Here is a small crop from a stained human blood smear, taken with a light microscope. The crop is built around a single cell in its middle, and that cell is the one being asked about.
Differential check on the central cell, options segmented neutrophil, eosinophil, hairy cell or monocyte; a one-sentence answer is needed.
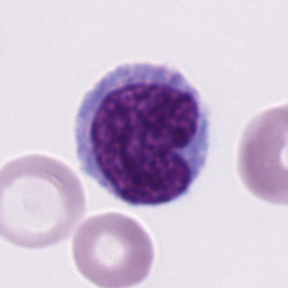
On this slide crop, the central cell is a monocyte.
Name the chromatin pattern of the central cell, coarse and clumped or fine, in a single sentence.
Thanks for asking; the chromatin is coarsely clumped.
